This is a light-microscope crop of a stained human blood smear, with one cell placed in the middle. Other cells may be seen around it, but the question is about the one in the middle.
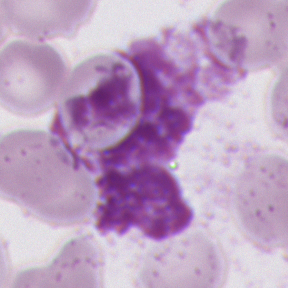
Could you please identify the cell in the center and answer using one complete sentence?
This crop is built around a smudge cell at its centre.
